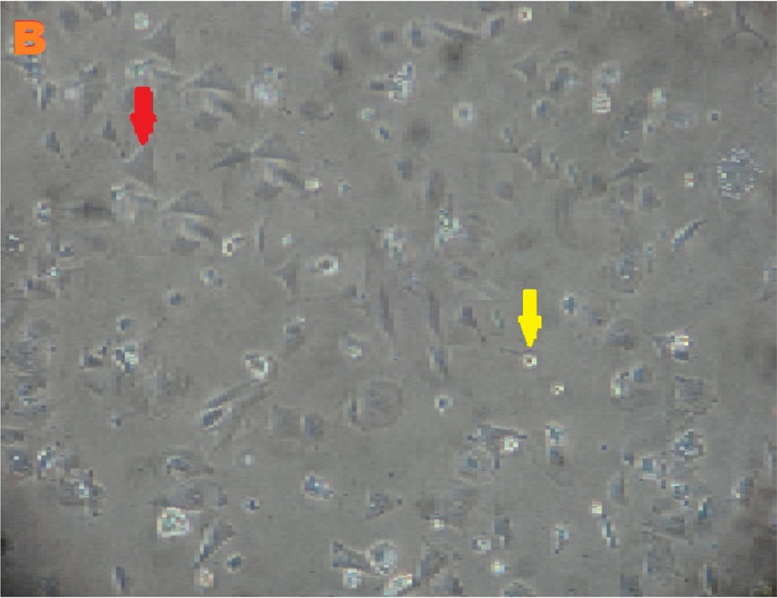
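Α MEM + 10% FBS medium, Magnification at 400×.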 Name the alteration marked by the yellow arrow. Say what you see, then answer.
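Cell death. The arrow points to a small, rounded, phase-bright cell. The marked cell is detached-looking and not spread like the elongated cells nearby.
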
